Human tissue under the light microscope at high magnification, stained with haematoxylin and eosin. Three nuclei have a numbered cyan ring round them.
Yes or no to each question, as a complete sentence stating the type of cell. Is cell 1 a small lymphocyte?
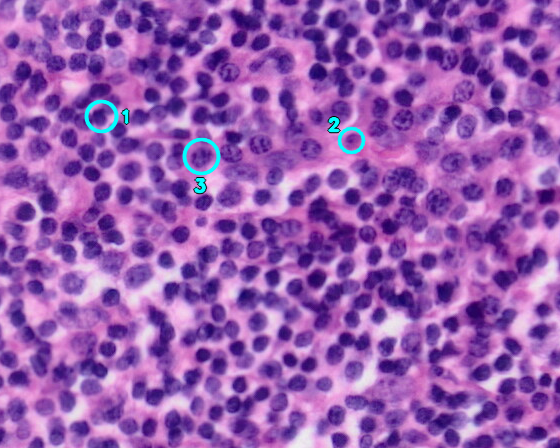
Yes, cell number 1 is classified as a small lymphocyte.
